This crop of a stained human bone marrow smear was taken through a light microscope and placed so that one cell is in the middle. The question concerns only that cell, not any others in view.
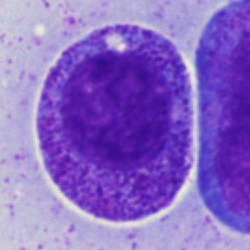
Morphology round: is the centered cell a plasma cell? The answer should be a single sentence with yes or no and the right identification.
No, the cell in the centre is to be called a promyelocyte instead of a plasma cell.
